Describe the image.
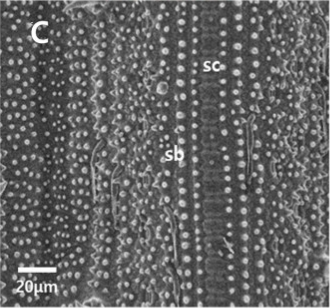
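This is a scanning electron view of a leaf epidermal surface built of long parallel cell files. A central file of small, regularly stacked dumbbell-shaped cells runs lengthwise, bordered by files of cells covered in rows of small rounded papillae. Cell boundaries appear as faint wavy lines between the files. The narrow central file holds the silicified dumbbell-shaped cells with silica bodies, set among ordinary papillate epidermal cells of a grass leaf.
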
